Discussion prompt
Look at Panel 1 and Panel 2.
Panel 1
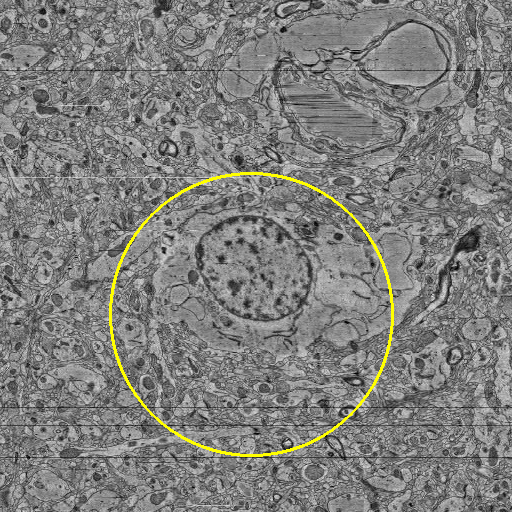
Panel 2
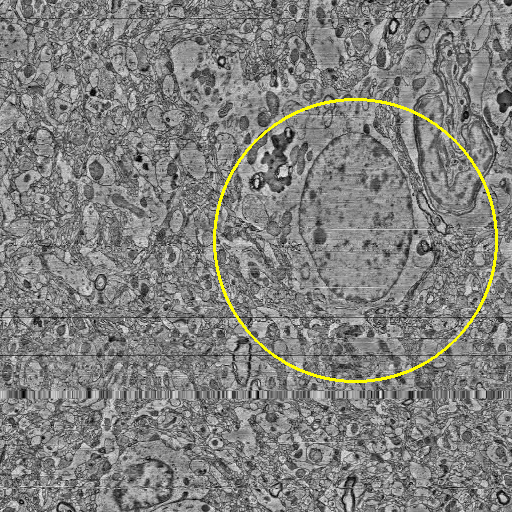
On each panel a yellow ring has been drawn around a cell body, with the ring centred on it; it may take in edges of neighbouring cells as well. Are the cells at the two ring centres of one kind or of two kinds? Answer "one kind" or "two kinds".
one kind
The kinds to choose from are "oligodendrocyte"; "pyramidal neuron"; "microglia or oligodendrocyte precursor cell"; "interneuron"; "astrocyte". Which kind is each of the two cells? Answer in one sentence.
The cell at the ring centre is an astrocyte in both pictures.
